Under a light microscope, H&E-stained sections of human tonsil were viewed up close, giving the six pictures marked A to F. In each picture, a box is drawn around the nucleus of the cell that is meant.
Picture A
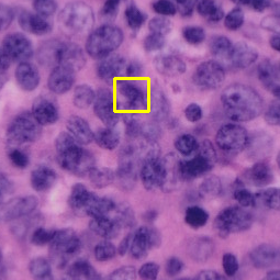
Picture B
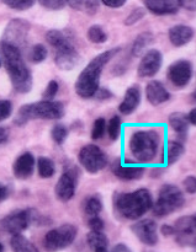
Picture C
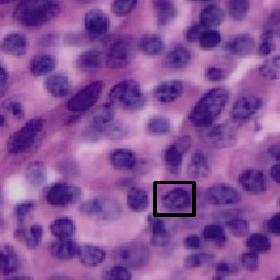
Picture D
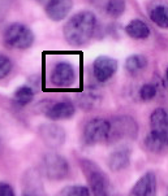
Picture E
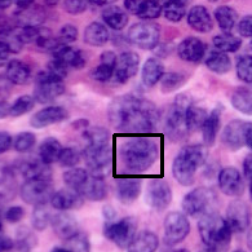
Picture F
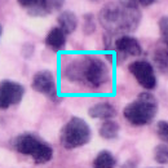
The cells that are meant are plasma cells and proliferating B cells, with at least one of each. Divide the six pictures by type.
A: proliferating B cell
B: proliferating B cell
C: plasma cell
D: plasma cell
E: proliferating B cell
F: proliferating B cell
